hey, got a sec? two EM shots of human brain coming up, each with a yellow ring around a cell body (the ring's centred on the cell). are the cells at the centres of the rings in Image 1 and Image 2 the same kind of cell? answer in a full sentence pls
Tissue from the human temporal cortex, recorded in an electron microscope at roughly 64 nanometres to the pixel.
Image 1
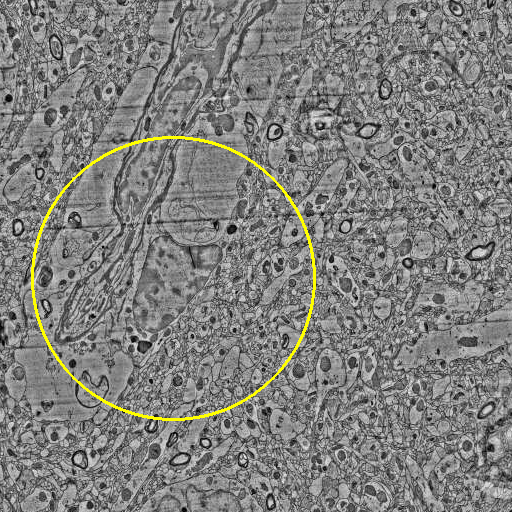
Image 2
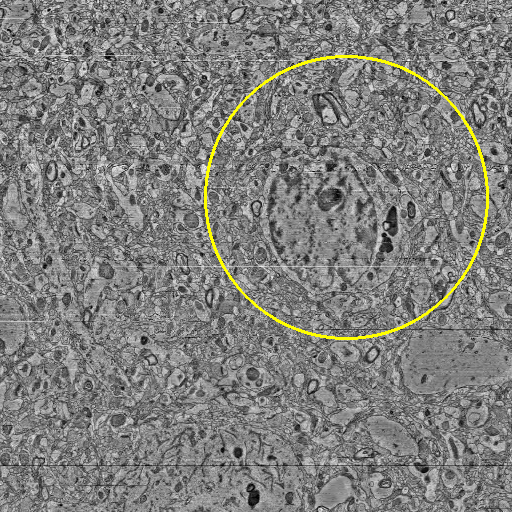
No, they are two kinds of cell.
